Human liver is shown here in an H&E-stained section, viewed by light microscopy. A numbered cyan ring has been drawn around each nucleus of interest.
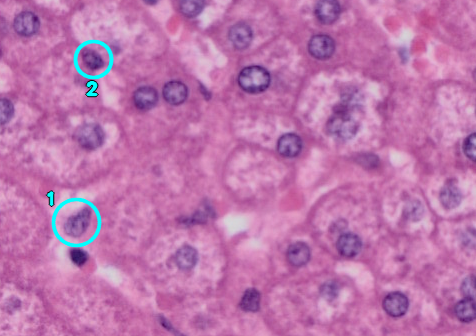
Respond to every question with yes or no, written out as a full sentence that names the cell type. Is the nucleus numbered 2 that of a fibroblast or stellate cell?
Yes, the cell with the mark numbered 2 is a fibroblast or stellate cell.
